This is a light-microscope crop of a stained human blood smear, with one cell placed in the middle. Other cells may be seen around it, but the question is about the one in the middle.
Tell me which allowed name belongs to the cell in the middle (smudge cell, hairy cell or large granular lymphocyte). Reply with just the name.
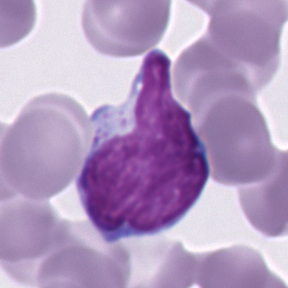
large granular lymphocyte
